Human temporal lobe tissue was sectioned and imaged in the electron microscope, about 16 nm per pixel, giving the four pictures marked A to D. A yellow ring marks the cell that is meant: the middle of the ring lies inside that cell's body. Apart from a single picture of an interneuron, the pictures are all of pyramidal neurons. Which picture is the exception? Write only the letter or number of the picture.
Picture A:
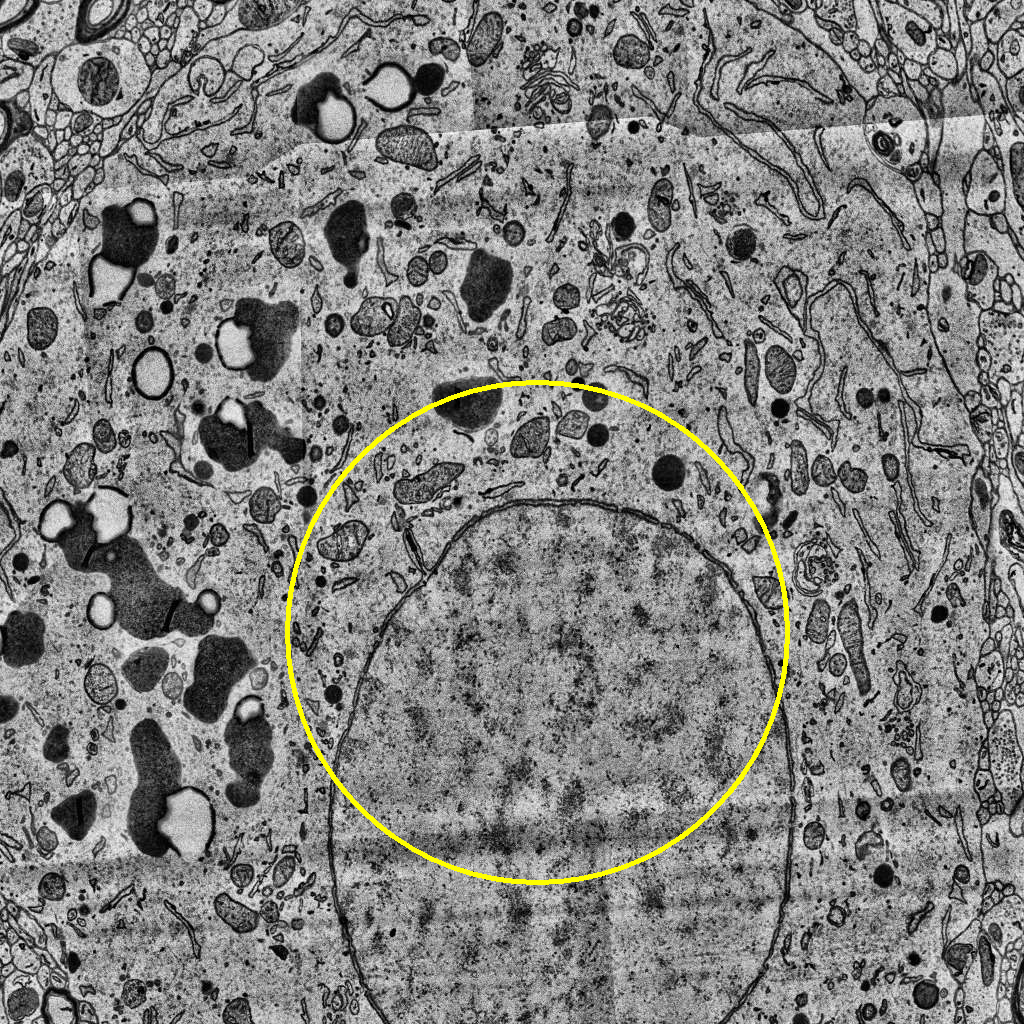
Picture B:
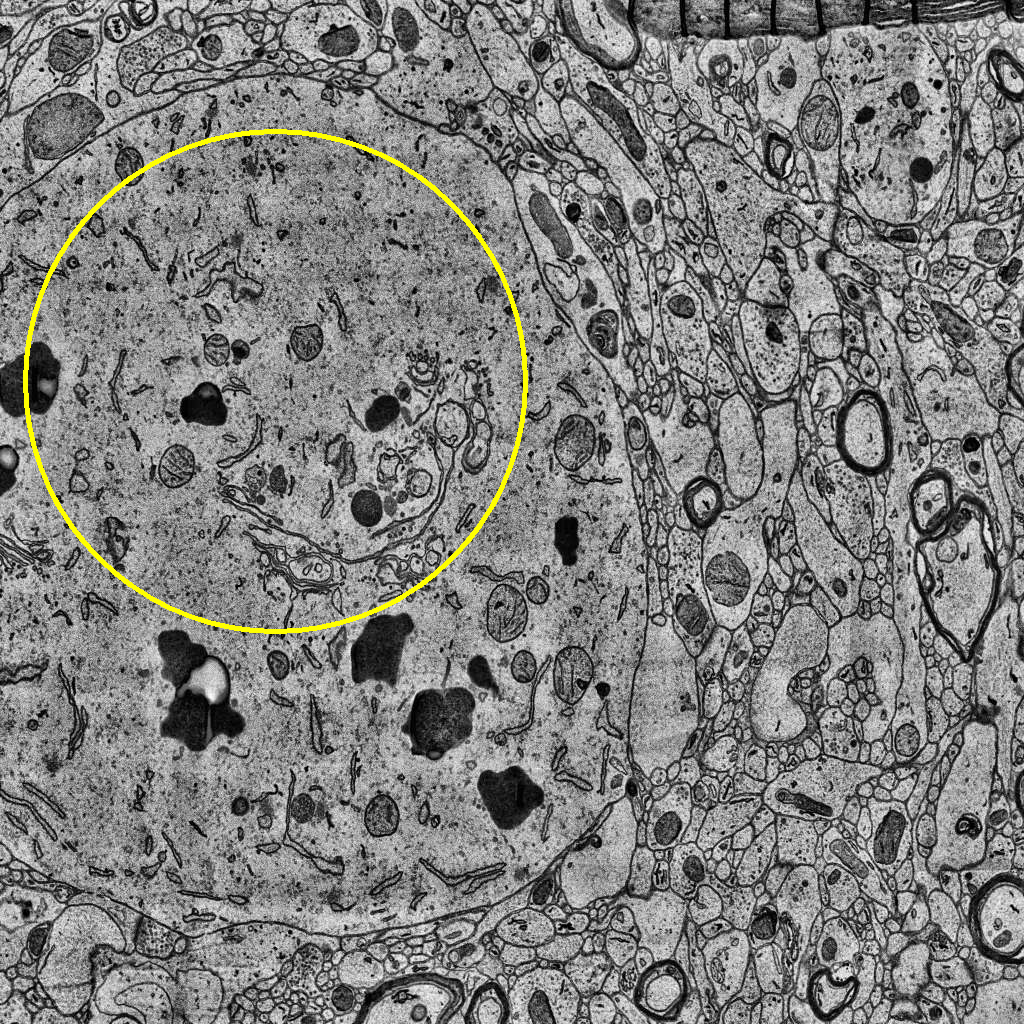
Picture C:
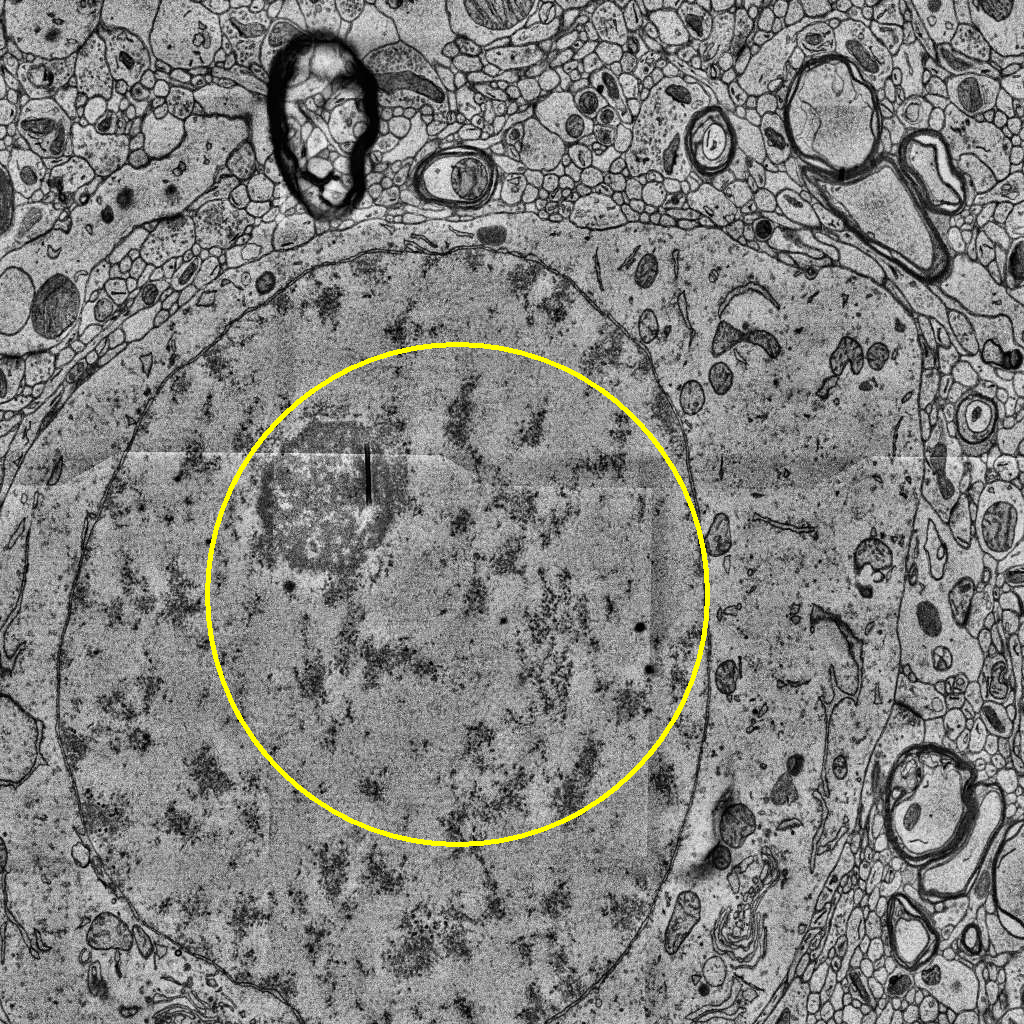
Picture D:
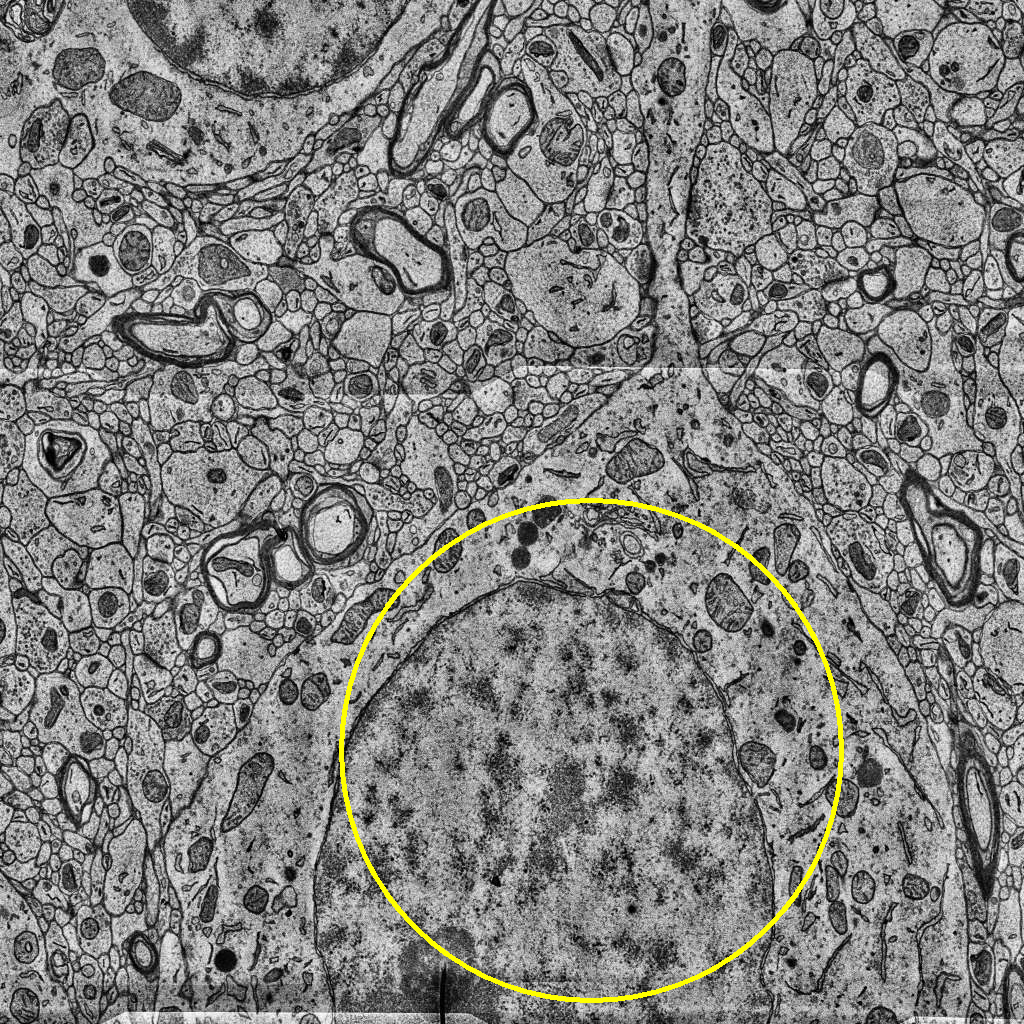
D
